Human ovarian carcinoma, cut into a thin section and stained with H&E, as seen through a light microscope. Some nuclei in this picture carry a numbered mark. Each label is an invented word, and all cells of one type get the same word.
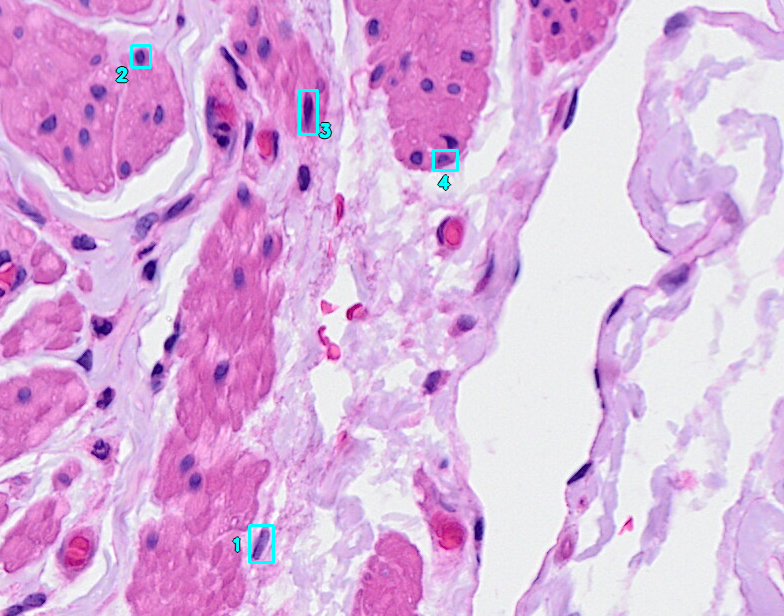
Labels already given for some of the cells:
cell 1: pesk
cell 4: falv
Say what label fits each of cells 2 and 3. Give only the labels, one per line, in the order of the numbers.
falv
falv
